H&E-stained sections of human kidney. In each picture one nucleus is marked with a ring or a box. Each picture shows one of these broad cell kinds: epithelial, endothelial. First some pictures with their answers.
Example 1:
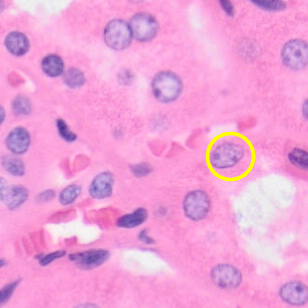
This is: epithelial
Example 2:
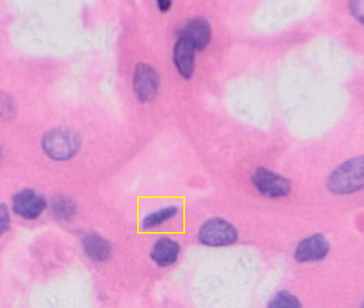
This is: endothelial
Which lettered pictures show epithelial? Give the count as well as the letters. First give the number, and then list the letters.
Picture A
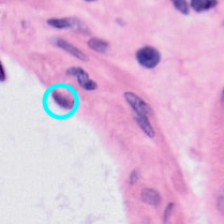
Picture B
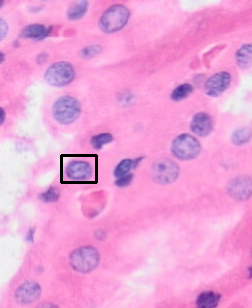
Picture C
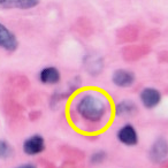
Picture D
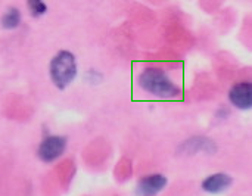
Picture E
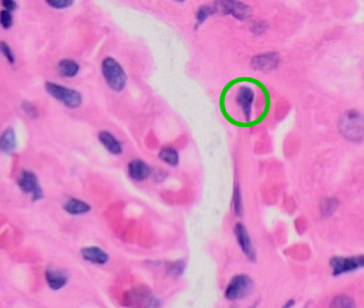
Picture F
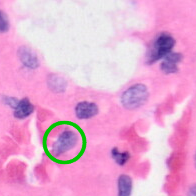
Count: 1 (B)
